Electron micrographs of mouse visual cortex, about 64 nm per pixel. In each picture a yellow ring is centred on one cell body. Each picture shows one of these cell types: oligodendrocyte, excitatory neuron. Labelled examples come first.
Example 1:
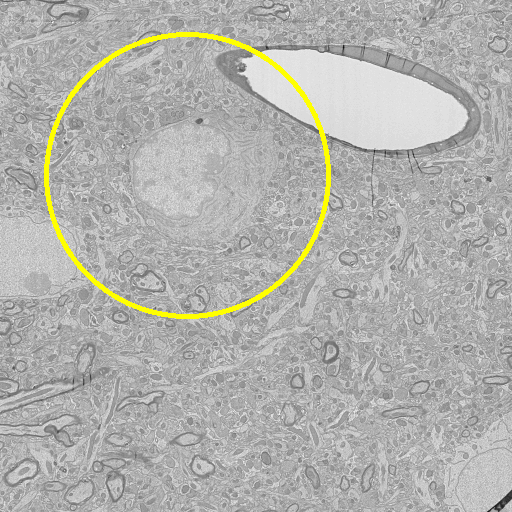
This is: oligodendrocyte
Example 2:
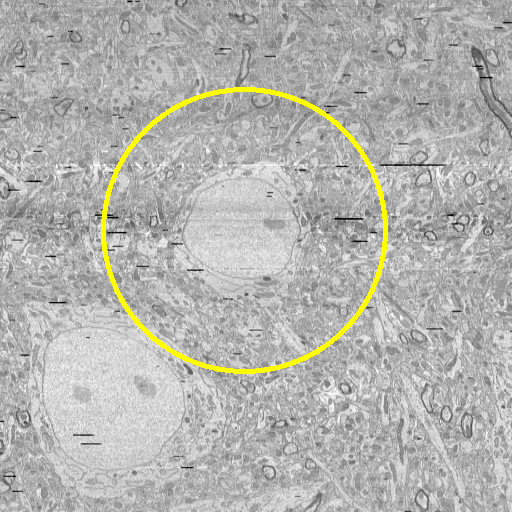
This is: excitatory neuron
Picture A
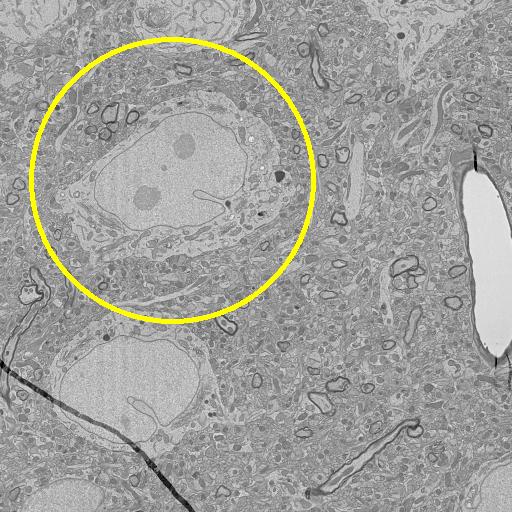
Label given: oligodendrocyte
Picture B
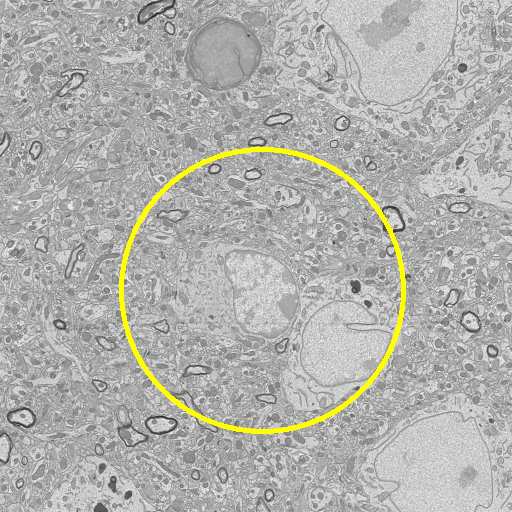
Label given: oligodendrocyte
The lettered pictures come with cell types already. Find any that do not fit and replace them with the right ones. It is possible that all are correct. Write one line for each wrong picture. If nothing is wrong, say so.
A: excitatory neuron, not oligodendrocyte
